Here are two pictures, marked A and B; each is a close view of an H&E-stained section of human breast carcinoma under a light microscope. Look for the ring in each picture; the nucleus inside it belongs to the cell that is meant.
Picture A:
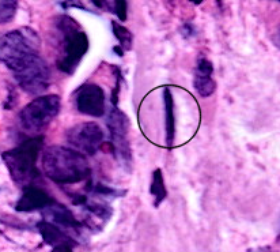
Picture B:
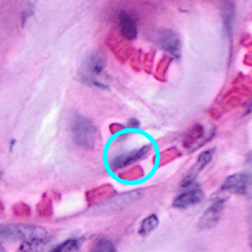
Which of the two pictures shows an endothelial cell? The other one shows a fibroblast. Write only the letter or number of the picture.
B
